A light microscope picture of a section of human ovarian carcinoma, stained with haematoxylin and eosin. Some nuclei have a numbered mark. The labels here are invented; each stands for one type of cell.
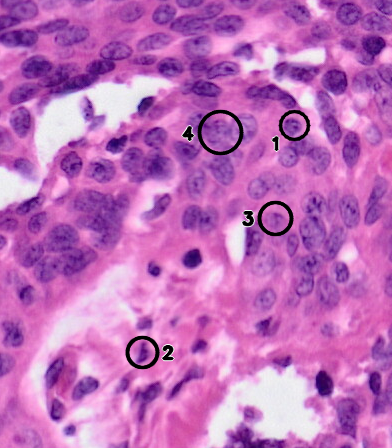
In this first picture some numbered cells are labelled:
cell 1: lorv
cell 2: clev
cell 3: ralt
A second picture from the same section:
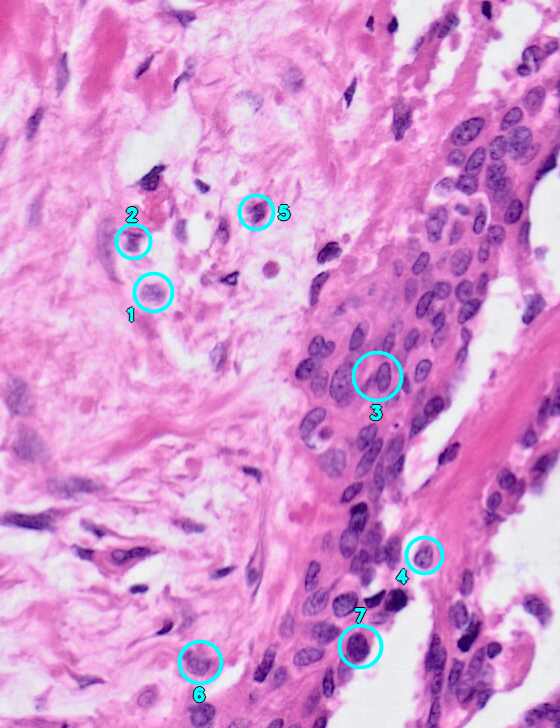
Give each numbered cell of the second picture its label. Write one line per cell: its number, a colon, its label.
1: clev
2: clev
3: ralt
4: lorv
5: clev
6: clev
7: ralt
